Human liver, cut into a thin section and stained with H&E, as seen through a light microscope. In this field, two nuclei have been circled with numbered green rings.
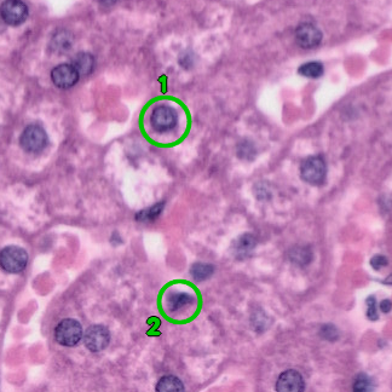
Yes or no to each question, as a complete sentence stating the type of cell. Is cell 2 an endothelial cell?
Yes, that is so; number 2 marks an endothelial cell.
